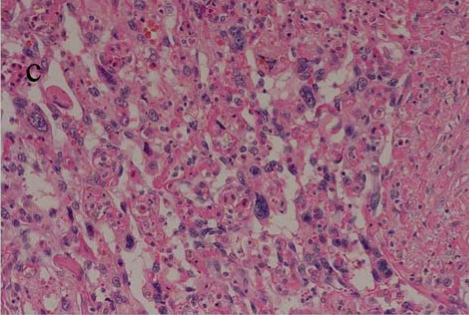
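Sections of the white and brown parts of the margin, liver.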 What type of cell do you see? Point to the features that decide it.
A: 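Highly atypical spindle-shaped cells. Cells have large, dark, irregular nuclei varying greatly in size. Some nuclei are bizarre and much larger than their neighbours.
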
